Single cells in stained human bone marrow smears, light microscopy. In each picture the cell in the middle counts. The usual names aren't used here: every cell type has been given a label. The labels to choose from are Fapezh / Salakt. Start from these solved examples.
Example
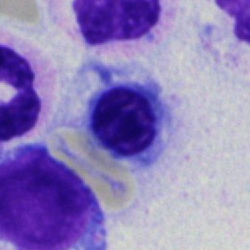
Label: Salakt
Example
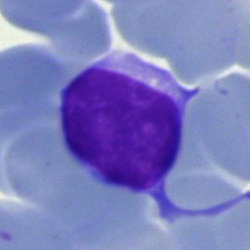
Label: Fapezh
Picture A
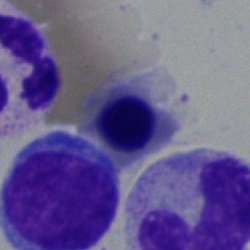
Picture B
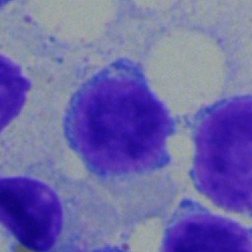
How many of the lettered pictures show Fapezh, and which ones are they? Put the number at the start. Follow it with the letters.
1: B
